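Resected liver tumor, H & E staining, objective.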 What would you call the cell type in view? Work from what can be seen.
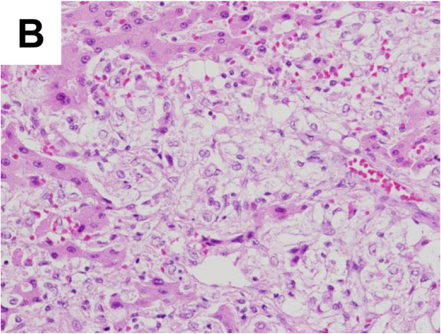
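Polygonal cells with pale, clear cytoplasm and round nuclei. Thin-walled channels containing red blood cells run between the cells.
Epithelioid clear cells.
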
